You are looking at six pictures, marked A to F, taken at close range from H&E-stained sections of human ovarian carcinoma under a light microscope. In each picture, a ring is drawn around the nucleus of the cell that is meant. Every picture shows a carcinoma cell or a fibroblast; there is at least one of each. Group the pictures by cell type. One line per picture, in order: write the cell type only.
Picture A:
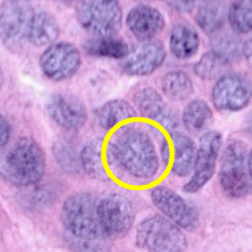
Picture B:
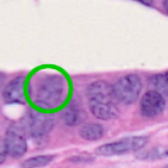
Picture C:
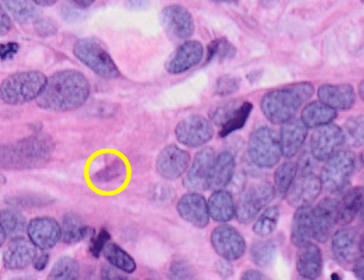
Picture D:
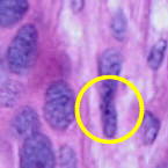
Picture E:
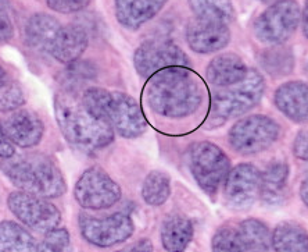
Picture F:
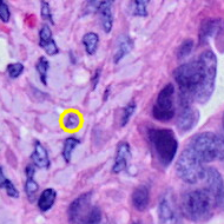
carcinoma cell
carcinoma cell
fibroblast
fibroblast
carcinoma cell
fibroblast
